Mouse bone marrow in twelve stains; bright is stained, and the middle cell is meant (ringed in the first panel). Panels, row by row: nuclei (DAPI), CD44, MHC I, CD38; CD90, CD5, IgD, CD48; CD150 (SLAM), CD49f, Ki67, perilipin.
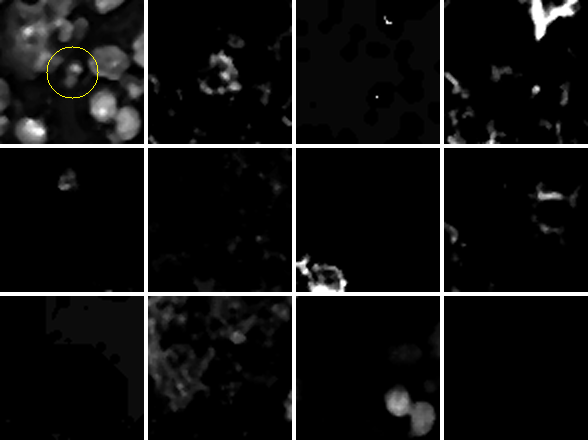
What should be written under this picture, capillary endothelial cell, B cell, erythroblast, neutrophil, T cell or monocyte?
neutrophil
